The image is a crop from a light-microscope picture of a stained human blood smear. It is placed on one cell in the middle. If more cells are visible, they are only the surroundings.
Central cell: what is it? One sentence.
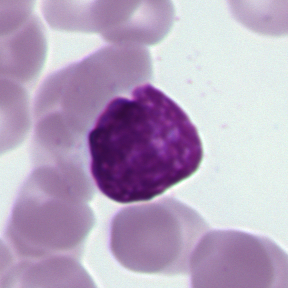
The cell of interest, in the center, is a smudge cell.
